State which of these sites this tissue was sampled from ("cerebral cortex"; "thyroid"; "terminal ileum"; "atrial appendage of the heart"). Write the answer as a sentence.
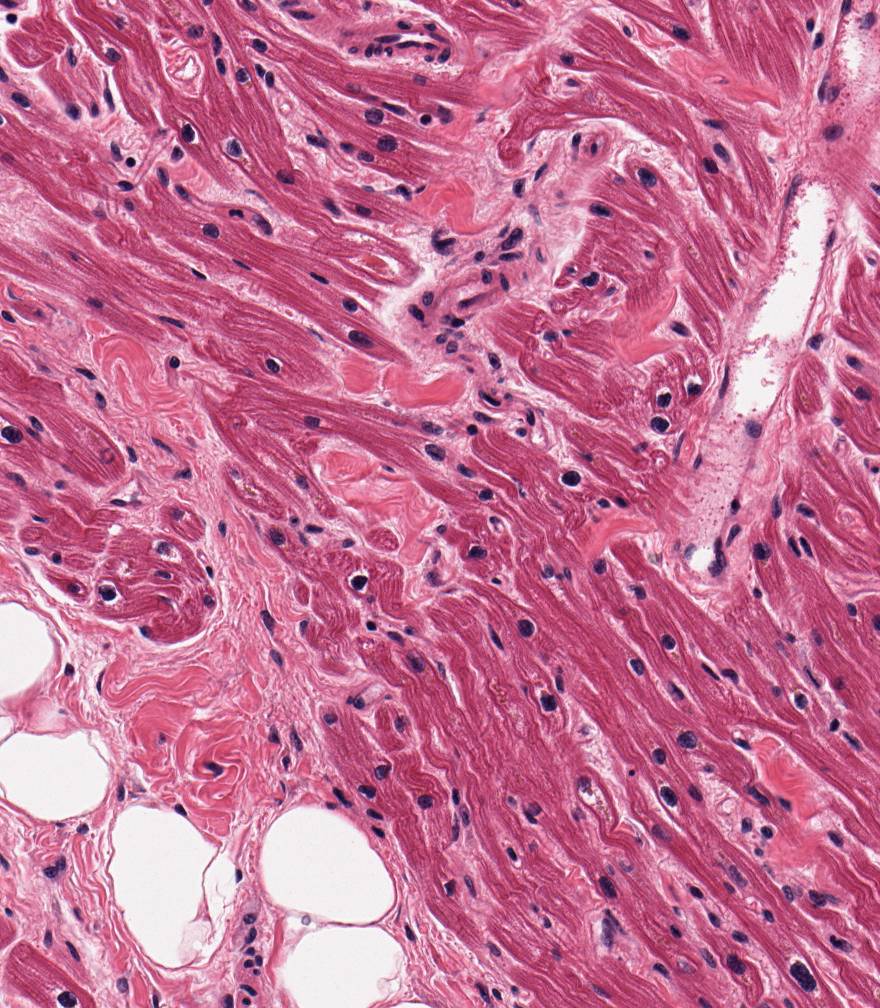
The site this tissue was sampled from is the atrial appendage of the heart.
